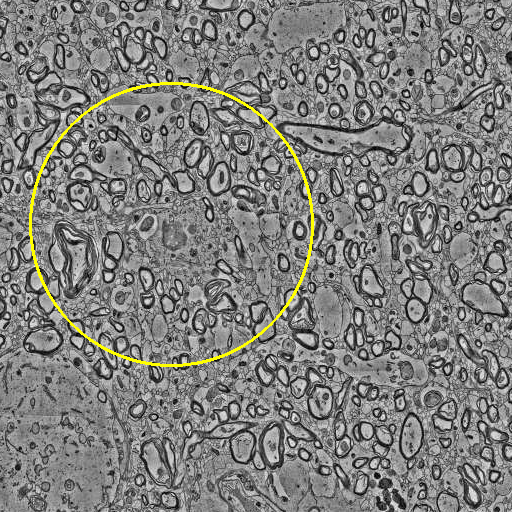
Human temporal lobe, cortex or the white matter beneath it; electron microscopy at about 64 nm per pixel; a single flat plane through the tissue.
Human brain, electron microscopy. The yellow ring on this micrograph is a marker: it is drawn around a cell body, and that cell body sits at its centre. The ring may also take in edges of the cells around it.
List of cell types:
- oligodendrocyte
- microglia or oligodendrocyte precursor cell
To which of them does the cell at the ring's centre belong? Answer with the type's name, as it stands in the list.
oligodendrocyte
